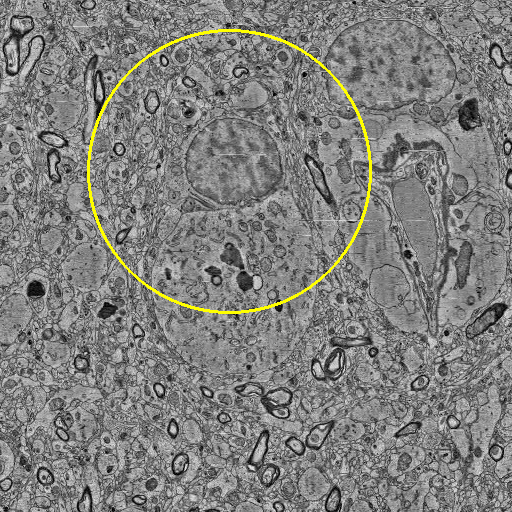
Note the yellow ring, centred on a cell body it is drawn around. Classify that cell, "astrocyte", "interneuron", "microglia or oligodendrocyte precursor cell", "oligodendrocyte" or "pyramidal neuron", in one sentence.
The cell the ring is centred on is an oligodendrocyte.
